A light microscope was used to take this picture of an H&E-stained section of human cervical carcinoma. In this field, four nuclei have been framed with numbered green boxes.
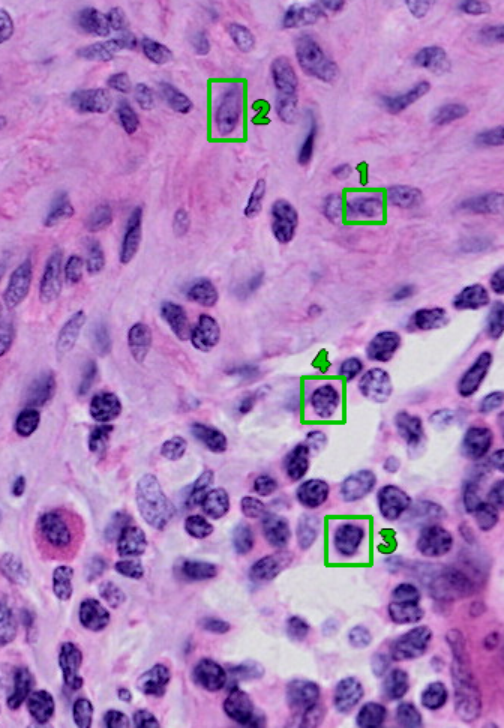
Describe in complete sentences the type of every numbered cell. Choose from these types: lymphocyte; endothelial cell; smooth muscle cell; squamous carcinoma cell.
Cells 1 and 2 are smooth muscle cells. Cells 3 and 4 are lymphocytes.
